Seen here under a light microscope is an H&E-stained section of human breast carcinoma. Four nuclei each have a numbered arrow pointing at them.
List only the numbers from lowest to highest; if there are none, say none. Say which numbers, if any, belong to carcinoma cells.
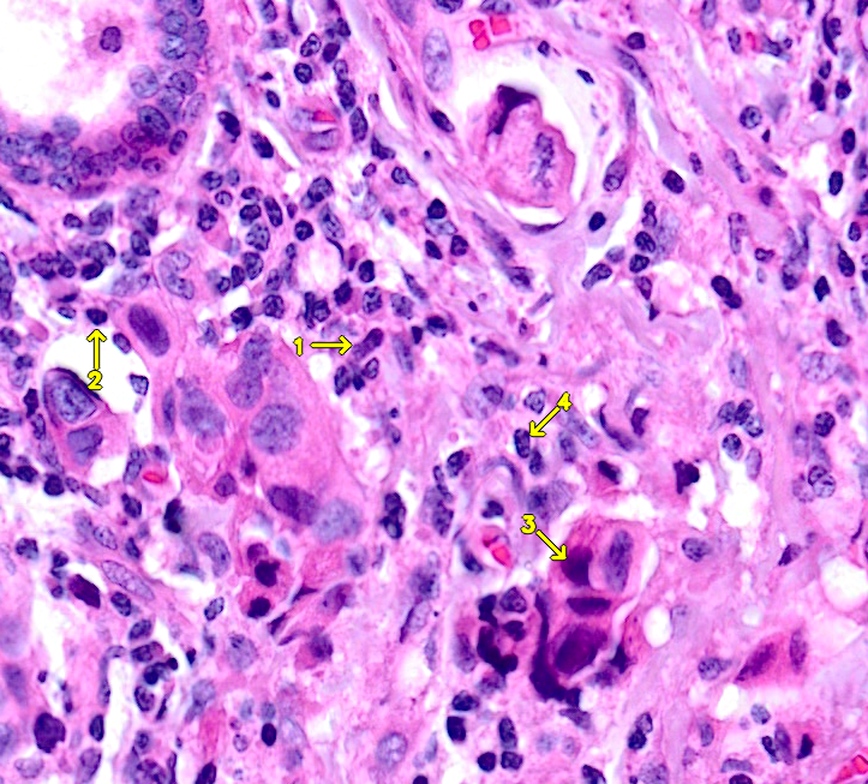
3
